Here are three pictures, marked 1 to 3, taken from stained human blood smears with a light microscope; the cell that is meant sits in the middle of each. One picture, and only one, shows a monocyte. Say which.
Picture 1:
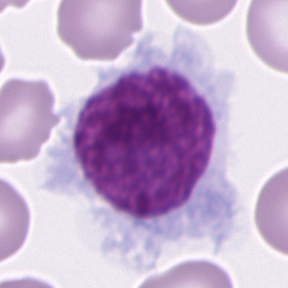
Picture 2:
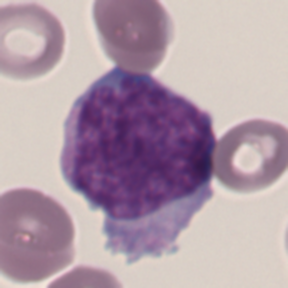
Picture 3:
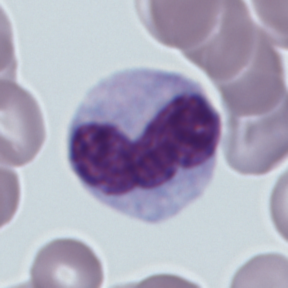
3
